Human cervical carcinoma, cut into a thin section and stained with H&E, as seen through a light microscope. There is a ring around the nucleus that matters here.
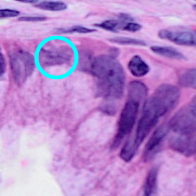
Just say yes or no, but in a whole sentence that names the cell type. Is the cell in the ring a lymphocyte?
No, the cell in the ring is not a lymphocyte but a secretory epithelial cell.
